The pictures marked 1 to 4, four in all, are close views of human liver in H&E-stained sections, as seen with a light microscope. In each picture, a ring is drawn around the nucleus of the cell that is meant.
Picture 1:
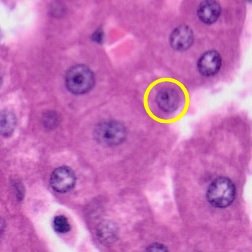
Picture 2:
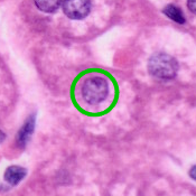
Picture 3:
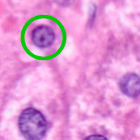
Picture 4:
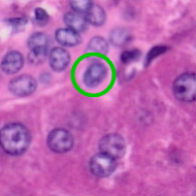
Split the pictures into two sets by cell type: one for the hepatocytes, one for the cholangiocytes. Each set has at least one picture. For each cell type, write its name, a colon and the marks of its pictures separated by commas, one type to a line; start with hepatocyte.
hepatocyte: 1, 2, 3
cholangiocyte: 4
